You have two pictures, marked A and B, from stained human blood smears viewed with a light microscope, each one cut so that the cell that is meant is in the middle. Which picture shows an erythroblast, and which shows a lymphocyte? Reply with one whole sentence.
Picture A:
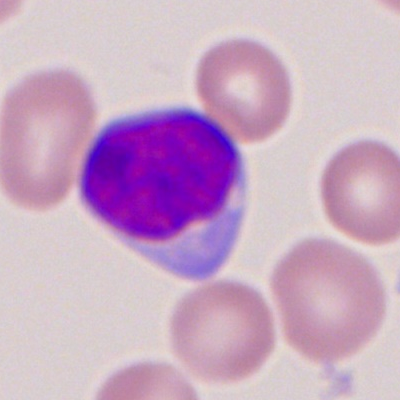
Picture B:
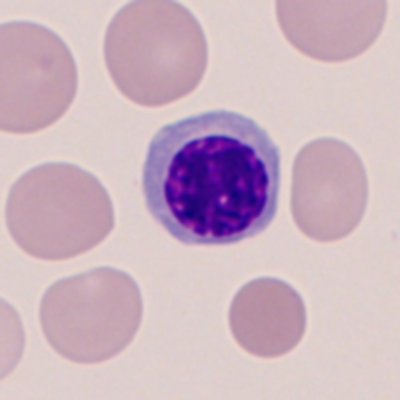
It is picture A that shows a lymphocyte, and picture B that shows an erythroblast.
